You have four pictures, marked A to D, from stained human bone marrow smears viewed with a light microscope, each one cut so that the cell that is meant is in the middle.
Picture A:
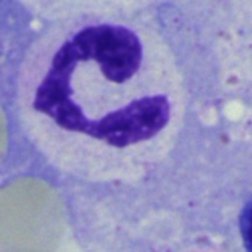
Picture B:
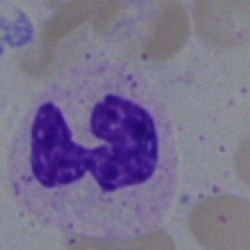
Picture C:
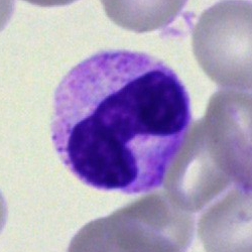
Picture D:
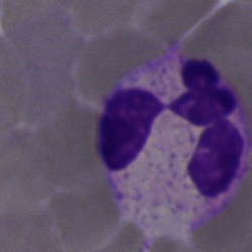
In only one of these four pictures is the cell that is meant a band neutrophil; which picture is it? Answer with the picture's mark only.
C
